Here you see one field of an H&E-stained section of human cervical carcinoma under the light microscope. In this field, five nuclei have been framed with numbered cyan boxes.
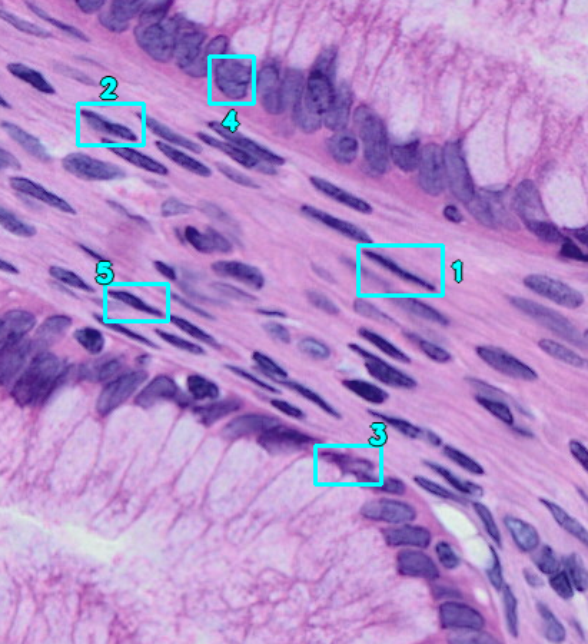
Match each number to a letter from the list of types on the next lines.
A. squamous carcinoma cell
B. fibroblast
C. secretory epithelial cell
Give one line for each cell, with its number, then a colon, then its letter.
1: B
2: B
3: C
4: C
5: B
